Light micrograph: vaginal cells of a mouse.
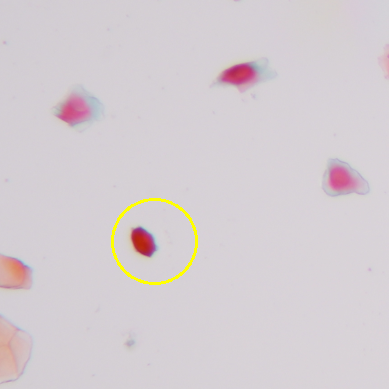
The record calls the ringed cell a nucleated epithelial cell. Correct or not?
Not correct; it is a cornified epithelial cell.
